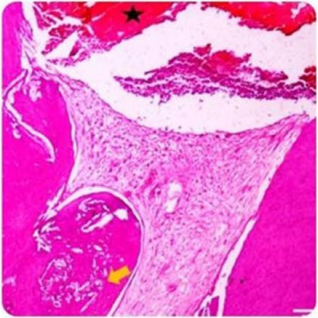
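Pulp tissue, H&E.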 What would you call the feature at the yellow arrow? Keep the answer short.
Localized calcific body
